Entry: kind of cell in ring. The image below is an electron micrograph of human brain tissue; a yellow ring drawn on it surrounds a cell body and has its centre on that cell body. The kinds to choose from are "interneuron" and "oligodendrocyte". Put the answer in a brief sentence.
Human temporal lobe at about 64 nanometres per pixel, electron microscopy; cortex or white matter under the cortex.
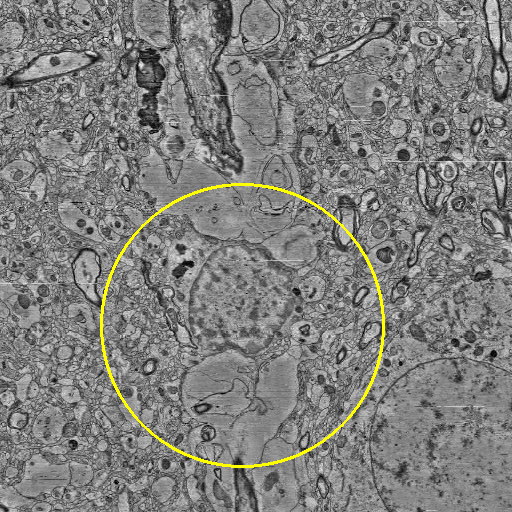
The ring has been drawn around an oligodendrocyte.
